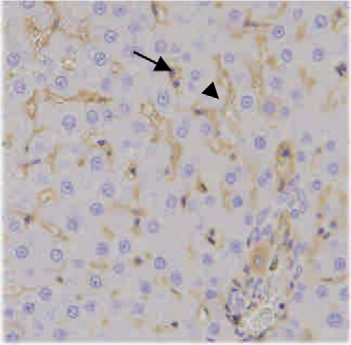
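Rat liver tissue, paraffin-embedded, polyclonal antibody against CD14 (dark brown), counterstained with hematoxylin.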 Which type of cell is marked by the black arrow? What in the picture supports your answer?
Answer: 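Kupffer cells. The arrow points to a small brown-stained cell lying in a sinusoid between cords of large polygonal cells.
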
